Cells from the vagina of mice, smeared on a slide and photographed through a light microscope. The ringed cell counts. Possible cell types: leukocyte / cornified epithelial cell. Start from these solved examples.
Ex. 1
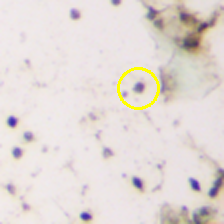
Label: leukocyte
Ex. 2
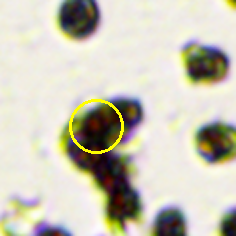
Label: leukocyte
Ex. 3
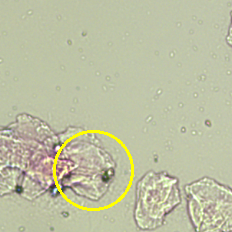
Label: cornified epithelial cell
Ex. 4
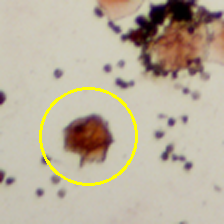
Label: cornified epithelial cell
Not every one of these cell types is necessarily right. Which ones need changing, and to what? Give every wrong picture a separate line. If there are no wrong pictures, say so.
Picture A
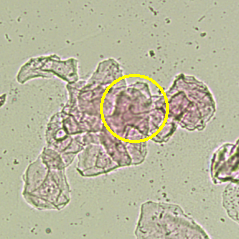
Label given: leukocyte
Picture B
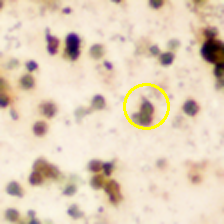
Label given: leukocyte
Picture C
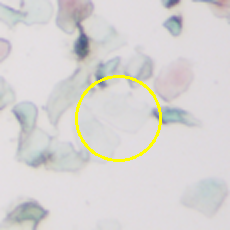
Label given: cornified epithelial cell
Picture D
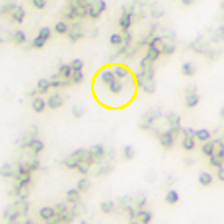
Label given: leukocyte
A: not leukocyte but cornified epithelial cell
